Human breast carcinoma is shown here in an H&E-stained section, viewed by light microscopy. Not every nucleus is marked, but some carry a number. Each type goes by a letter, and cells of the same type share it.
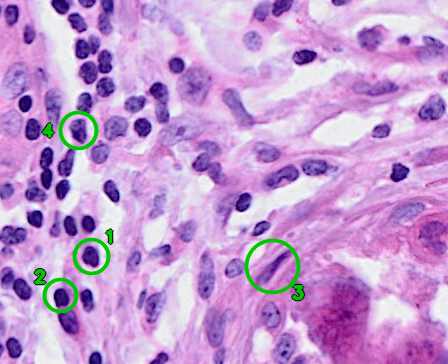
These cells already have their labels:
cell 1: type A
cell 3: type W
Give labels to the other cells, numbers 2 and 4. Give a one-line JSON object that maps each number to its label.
{"2": "type A", "4": "type A"}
